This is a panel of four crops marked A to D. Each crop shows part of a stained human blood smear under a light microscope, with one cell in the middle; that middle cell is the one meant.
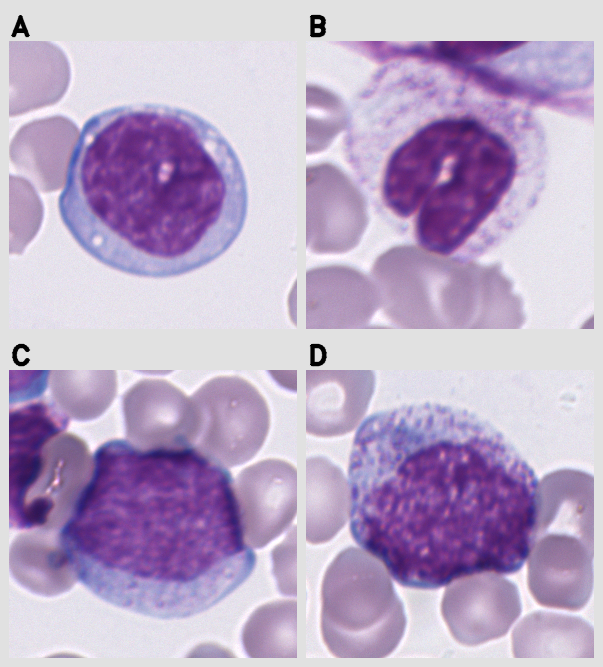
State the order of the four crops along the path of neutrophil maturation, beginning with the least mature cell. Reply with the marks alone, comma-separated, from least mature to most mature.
A, C, D, B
